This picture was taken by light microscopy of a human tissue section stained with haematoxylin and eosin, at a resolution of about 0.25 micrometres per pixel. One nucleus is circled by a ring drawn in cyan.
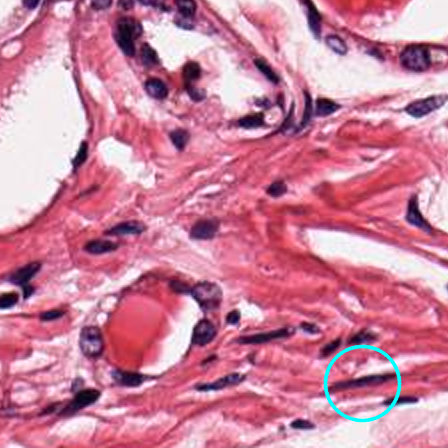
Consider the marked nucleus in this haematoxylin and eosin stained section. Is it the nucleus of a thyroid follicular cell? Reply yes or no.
no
